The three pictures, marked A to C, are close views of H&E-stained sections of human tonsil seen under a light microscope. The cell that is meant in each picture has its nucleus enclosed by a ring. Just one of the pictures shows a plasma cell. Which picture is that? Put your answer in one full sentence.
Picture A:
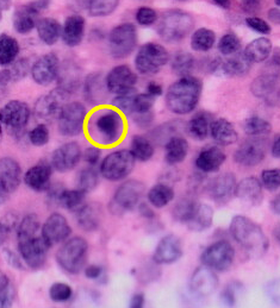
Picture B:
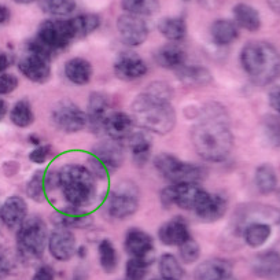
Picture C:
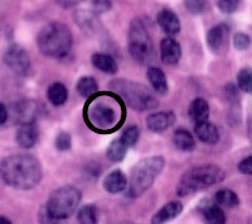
The picture with the plasma cell is C.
